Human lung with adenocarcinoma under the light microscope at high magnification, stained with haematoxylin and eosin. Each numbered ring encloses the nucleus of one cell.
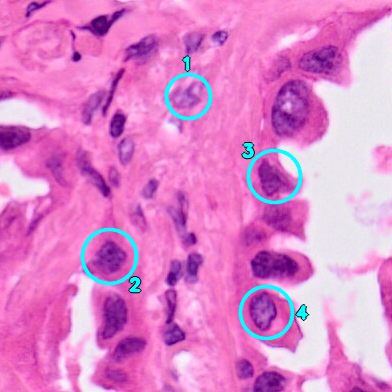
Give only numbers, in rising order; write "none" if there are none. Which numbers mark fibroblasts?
1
